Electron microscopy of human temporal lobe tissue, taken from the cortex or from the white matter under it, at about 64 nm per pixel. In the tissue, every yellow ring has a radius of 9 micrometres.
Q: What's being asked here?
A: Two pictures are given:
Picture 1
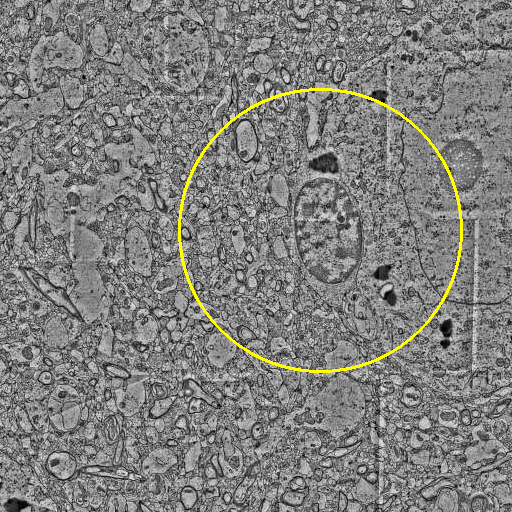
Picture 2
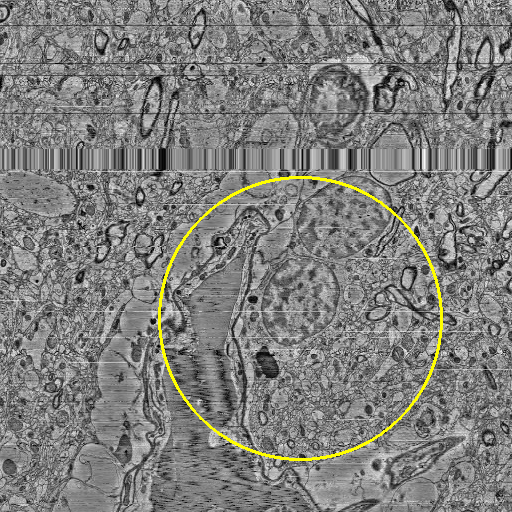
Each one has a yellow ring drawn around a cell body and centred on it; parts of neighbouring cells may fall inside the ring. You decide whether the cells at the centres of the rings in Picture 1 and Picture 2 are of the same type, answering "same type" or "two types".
same type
